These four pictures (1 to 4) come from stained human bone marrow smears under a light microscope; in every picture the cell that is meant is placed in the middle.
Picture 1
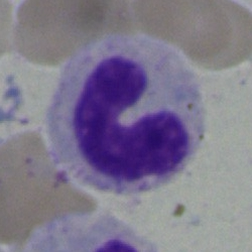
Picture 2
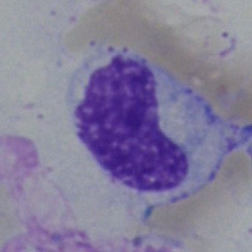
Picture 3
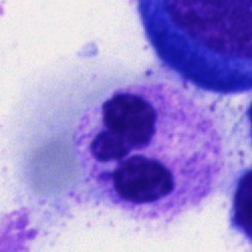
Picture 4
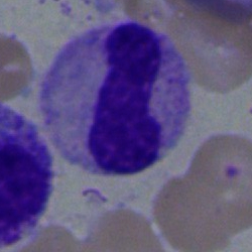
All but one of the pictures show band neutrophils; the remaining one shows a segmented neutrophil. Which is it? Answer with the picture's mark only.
3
